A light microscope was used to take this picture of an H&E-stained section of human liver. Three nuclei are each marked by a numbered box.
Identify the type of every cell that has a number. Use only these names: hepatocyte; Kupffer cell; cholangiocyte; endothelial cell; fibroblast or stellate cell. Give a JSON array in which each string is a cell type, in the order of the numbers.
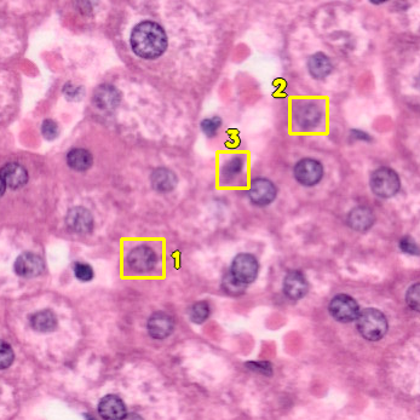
["hepatocyte", "hepatocyte", "Kupffer cell"]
